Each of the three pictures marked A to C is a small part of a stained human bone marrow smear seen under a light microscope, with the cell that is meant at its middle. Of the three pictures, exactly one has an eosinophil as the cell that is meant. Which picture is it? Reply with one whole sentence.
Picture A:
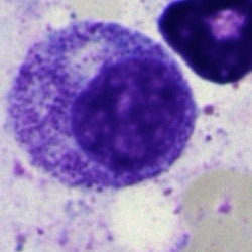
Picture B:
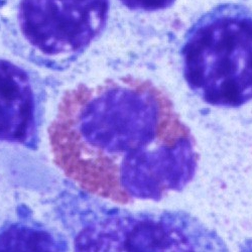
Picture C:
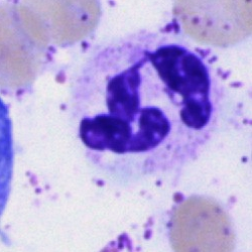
The cell in picture B is the eosinophil.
